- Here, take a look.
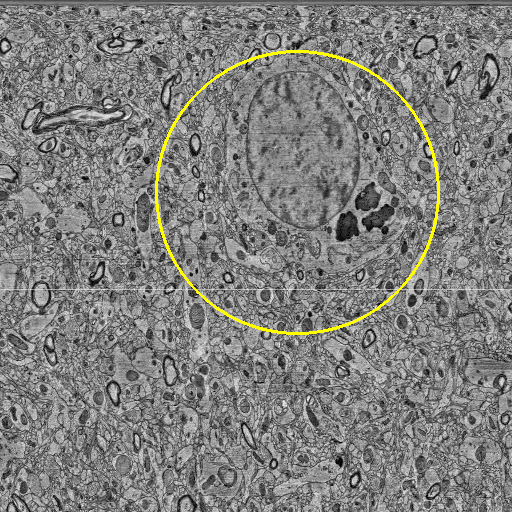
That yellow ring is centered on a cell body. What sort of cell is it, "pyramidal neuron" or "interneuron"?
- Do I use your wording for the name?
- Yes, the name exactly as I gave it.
interneuron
